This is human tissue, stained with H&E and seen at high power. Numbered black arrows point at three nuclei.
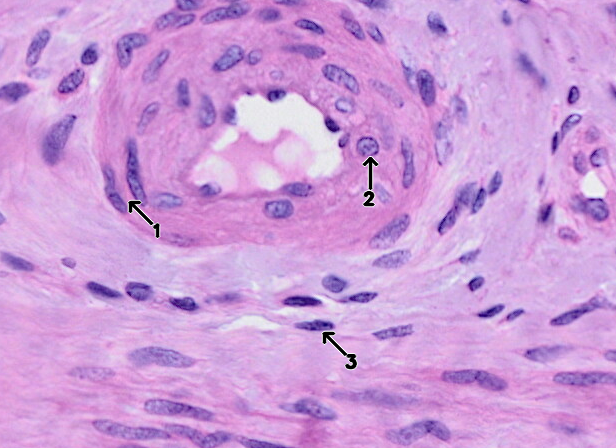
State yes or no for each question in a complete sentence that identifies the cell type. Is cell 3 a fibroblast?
Yes, the marked cell with number 3 is a fibroblast.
